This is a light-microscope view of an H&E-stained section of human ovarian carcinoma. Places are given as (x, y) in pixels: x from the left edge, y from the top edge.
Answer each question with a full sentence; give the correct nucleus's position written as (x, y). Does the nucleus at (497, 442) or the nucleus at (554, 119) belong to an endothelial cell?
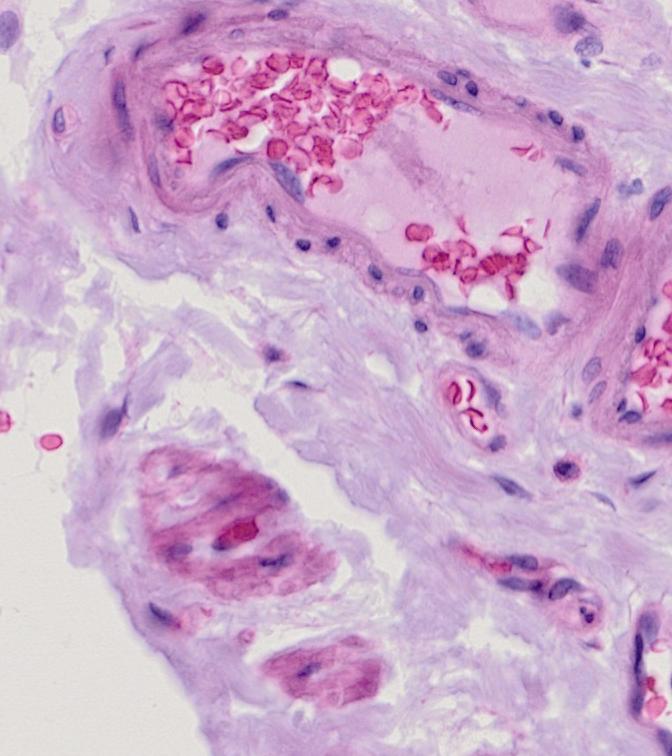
Of these two nuclei, only the one at (497, 442) belongs to an endothelial cell.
